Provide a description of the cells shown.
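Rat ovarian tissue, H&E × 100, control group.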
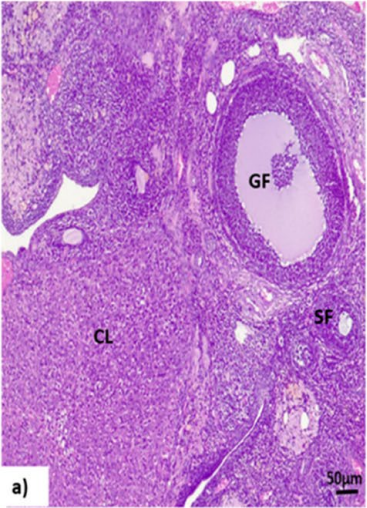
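Ovary with follicles at different stages of development and a corpus luteum. A large follicle has a wide pale pink fluid-filled cavity ringed by a thick layer of densely packed purple-nucleated cells, with a small cell cluster inside the cavity; smaller follicles with small cavities lie nearby. A broad solid sheet of pale-staining cells fills the left side.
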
